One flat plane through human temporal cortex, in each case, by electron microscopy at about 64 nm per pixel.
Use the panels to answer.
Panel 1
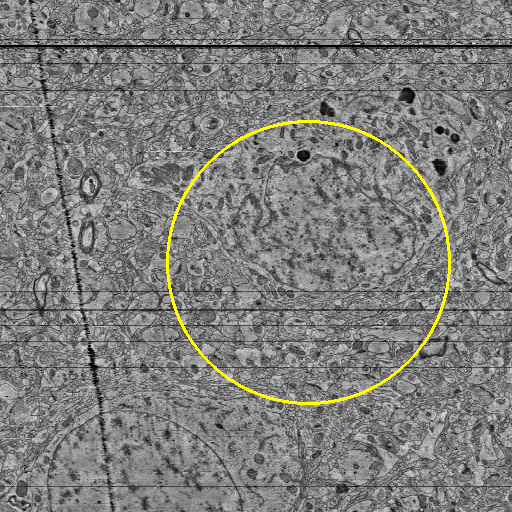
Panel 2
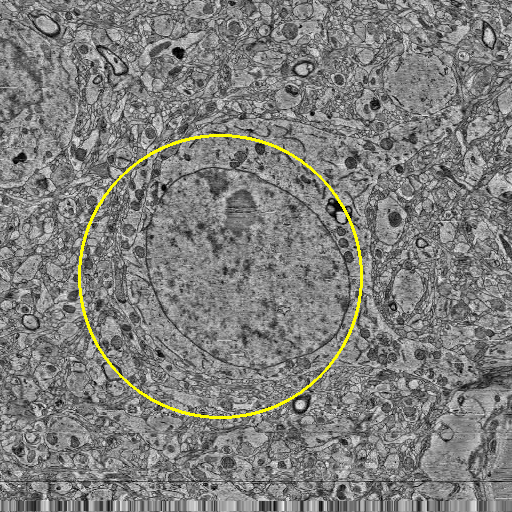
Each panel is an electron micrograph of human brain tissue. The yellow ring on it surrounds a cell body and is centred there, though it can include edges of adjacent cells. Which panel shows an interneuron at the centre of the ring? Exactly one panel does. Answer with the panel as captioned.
Panel 1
